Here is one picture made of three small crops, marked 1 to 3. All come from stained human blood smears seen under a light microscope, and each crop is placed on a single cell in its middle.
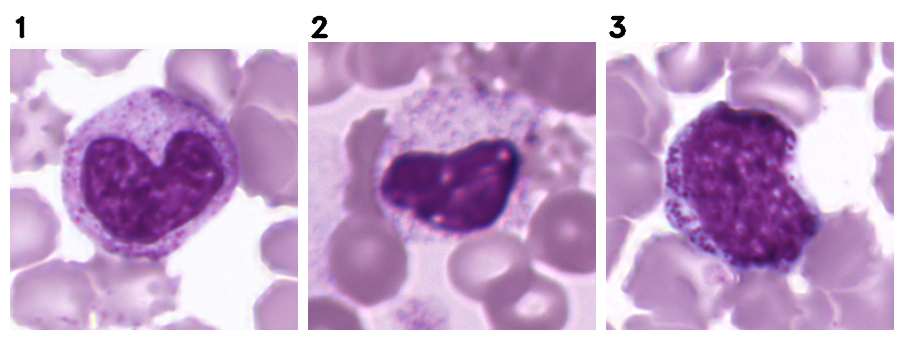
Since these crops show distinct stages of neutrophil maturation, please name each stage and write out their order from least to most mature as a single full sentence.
By increasing maturity, the cells should be ordered crop 3 (a myelocyte), crop 1 (a metamyelocyte) and crop 2 (a segmented neutrophil).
